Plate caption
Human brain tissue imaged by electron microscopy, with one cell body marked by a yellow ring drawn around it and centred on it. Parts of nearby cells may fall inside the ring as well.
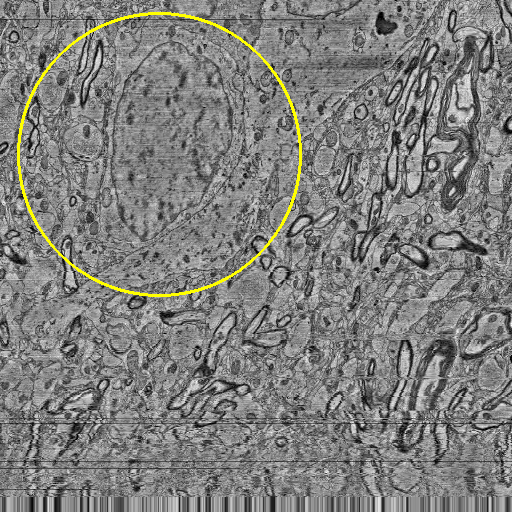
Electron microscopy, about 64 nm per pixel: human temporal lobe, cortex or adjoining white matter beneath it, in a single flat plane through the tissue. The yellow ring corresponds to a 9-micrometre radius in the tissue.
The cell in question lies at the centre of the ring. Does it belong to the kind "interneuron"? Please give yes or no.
Yes, it belongs to that kind.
